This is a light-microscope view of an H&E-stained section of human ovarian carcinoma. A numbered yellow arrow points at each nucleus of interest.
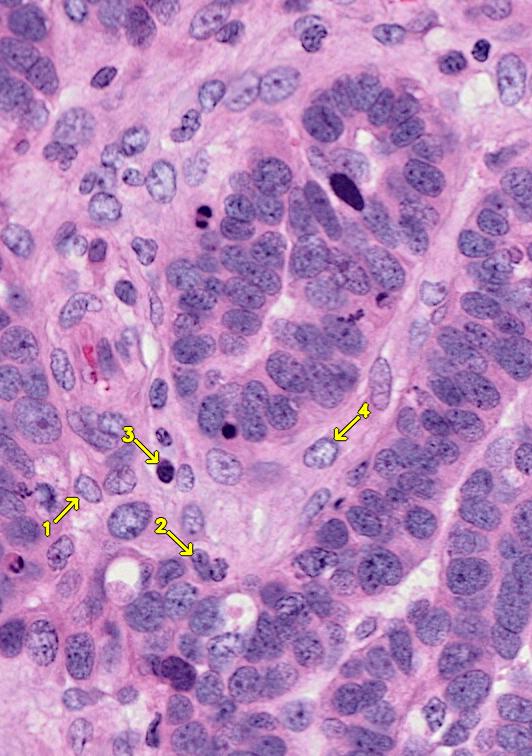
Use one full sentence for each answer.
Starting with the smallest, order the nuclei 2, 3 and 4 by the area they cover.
By area, going up from the smallest, they rank 3, 2, 4.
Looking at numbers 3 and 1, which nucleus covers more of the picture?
Number 1 is larger; its area is about 1.5 times that of number 3.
